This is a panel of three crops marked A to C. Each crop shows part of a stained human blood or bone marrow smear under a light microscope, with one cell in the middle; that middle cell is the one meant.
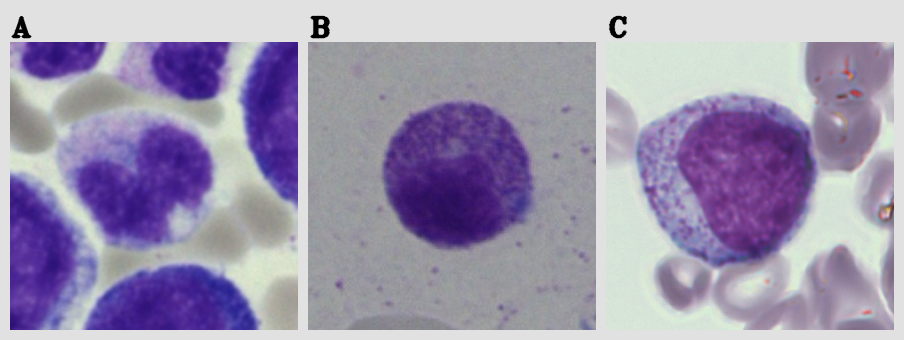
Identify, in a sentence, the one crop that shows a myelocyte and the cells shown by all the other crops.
Crop B presents a myelocyte, while crop A is a monocyte and crop C is a promyelocyte.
